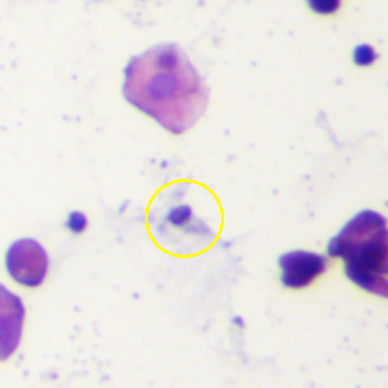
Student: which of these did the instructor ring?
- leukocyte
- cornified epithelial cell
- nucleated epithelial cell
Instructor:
The cell I ringed is a leukocyte.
